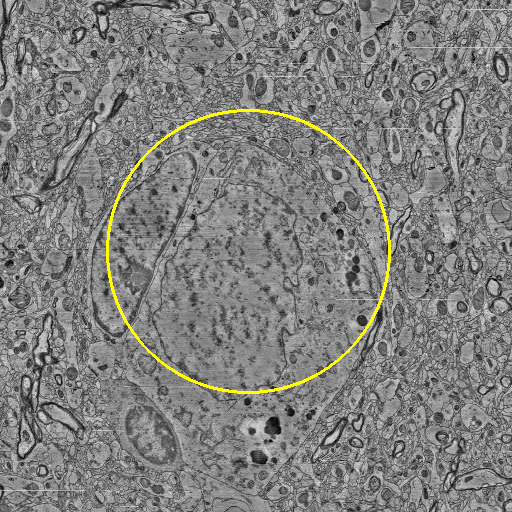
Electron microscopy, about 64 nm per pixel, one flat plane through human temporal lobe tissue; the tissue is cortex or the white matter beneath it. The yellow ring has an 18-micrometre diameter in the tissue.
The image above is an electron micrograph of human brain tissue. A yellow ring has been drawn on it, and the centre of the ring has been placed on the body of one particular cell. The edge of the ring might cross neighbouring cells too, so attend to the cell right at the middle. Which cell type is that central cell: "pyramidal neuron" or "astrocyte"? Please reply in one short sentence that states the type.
The central cell in the ring is a pyramidal neuron.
